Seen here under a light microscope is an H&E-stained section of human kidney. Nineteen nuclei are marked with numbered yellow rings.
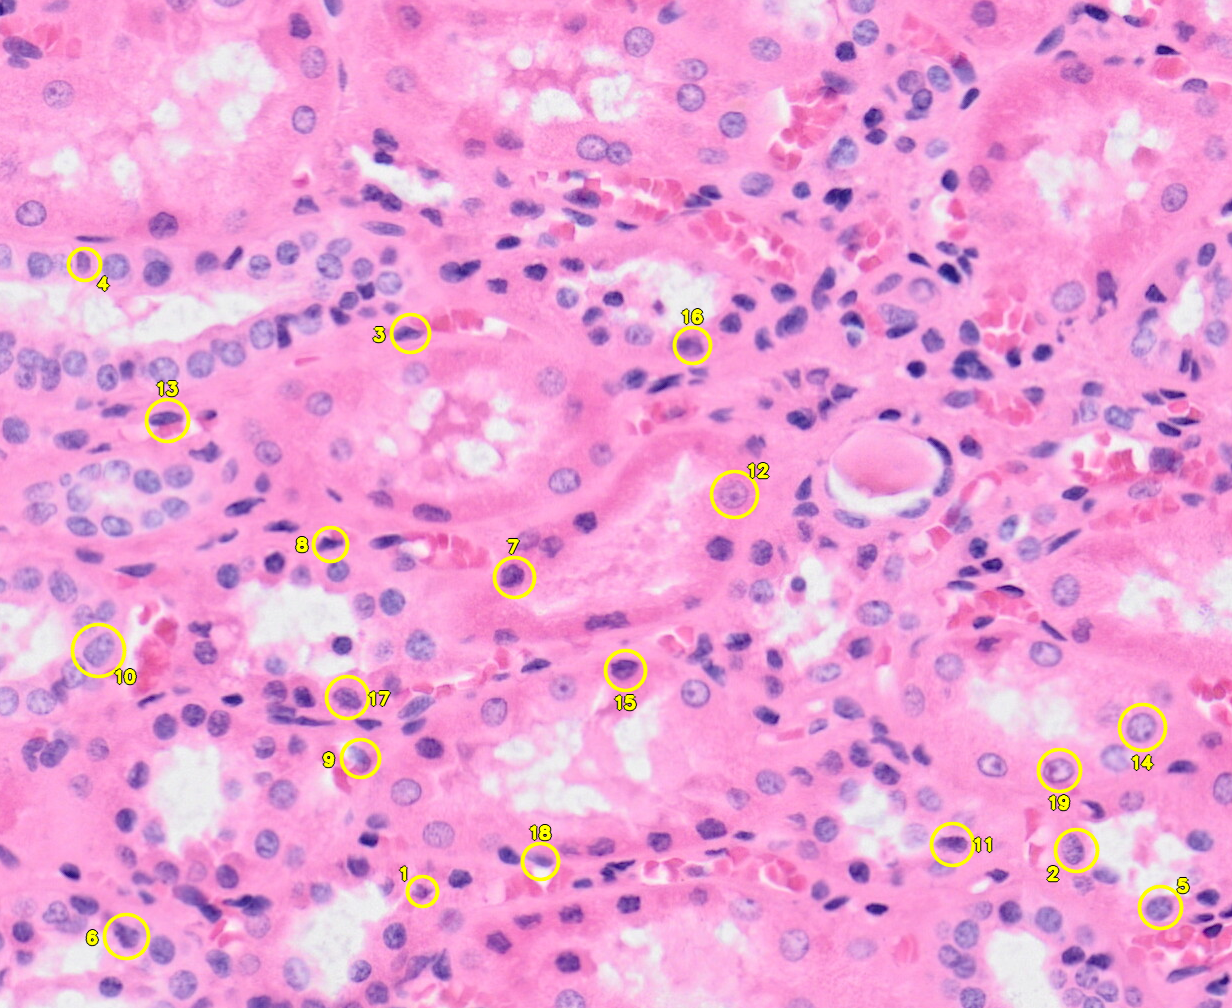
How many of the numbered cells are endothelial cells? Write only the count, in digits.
5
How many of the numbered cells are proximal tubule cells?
5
